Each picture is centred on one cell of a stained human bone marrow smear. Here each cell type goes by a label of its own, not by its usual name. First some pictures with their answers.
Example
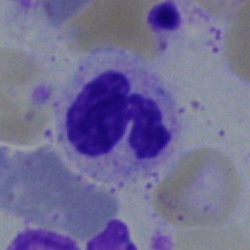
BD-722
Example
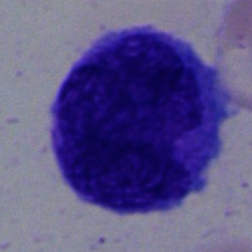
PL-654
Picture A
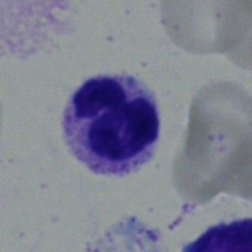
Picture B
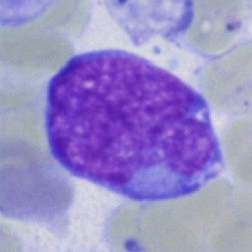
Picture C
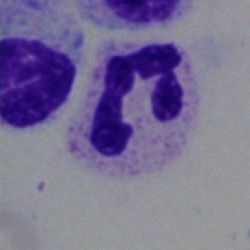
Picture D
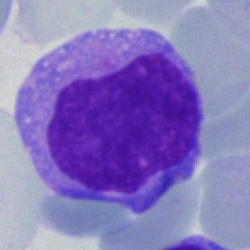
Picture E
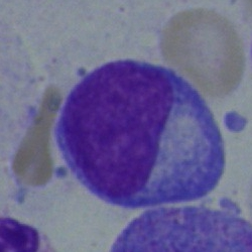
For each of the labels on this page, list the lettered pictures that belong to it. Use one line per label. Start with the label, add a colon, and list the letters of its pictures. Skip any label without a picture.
BD-722: A, C
PL-654: B, D, E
